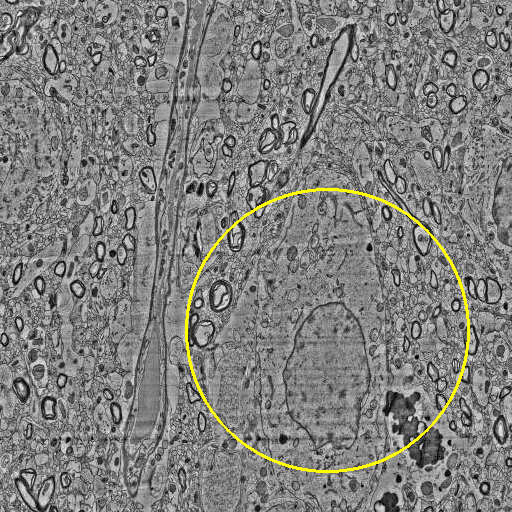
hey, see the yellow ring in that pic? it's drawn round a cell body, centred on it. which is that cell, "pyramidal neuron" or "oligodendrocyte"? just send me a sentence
The cell in the ring is a pyramidal neuron.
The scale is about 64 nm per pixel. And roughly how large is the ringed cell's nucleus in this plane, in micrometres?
About 9 by 6 micrometres, the nucleus being clearly longer than it is wide in this plane.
